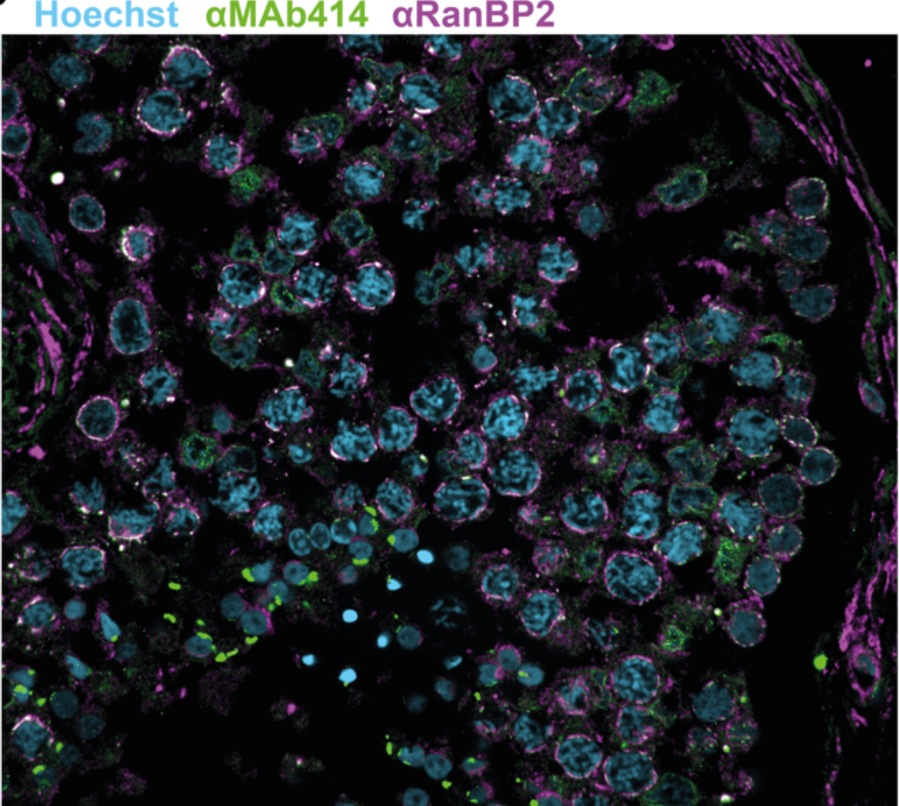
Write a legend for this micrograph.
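Large round nuclei with clumped, mottled chromatin fill most of the section, and many are ringed by overlapping green and magenta rims at the nuclear border, appearing white where they meet. In the lower and central part lie smaller, smooth, evenly cyan nuclei, some oval. Beside many of these small nuclei sit bright green caps or blobs without a magenta ring. Flattened elongated nuclei and magenta streaks mark the tubule wall and surrounding tissue at the edges.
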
